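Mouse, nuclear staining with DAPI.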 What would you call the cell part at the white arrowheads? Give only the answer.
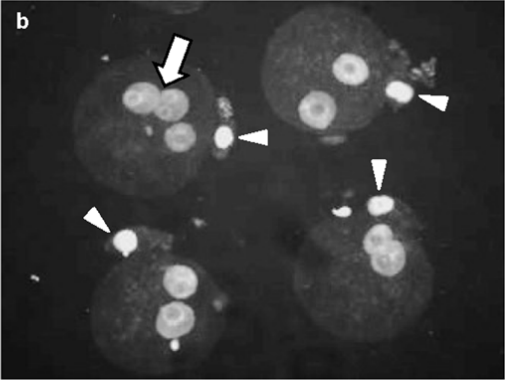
second polar body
